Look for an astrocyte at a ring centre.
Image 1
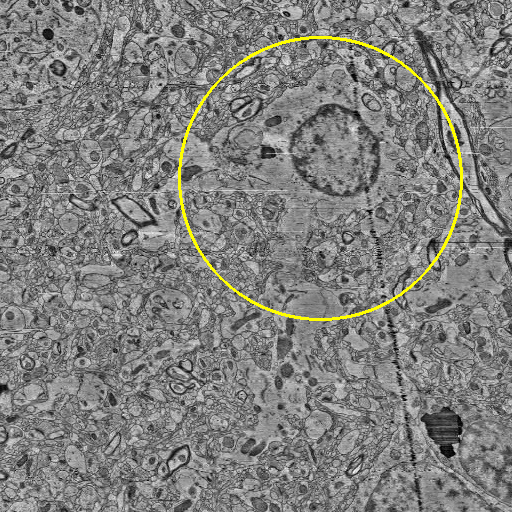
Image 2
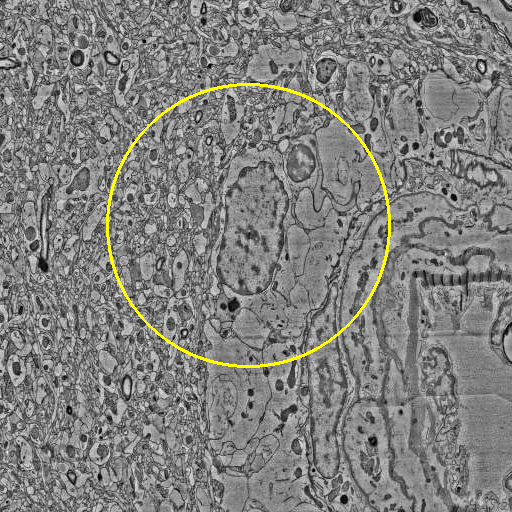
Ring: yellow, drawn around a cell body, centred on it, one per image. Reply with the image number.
1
